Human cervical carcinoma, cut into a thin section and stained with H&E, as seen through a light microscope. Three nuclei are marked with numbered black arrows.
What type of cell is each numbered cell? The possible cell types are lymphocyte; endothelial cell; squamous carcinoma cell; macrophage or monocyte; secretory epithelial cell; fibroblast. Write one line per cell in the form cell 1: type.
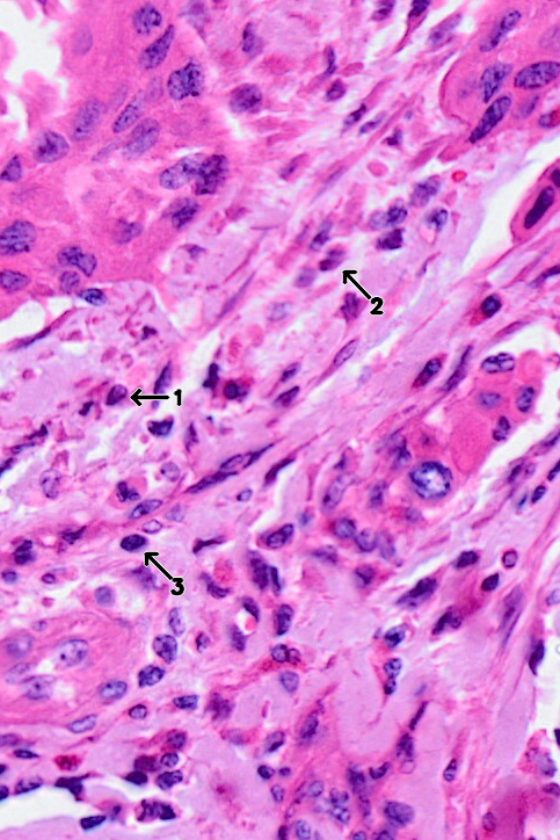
cell 1: macrophage or monocyte
cell 2: fibroblast
cell 3: lymphocyte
